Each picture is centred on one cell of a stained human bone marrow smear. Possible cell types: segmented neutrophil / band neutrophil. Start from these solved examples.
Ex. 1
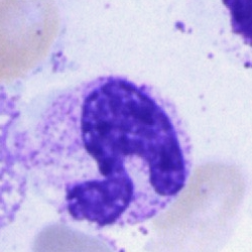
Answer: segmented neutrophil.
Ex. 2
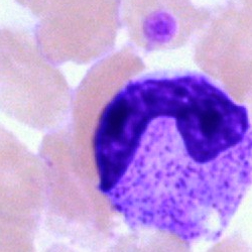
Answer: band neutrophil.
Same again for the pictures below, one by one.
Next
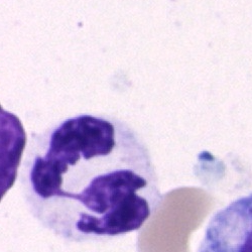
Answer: segmented neutrophil.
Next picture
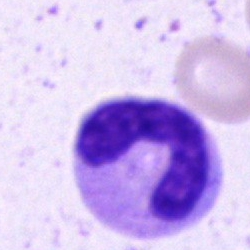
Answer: band neutrophil.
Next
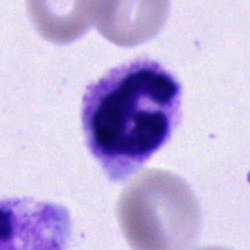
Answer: segmented neutrophil.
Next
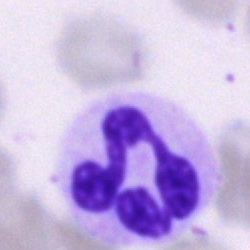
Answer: segmented neutrophil.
